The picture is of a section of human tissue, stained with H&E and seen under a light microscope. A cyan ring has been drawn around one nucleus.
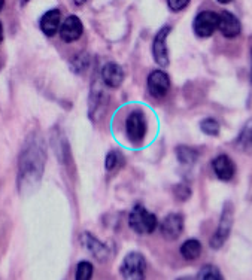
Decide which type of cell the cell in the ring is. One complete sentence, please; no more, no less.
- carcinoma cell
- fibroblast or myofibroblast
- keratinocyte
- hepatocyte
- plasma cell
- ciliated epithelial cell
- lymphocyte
In cellular terms, the cell in the ring is a plasma cell.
